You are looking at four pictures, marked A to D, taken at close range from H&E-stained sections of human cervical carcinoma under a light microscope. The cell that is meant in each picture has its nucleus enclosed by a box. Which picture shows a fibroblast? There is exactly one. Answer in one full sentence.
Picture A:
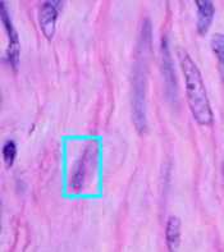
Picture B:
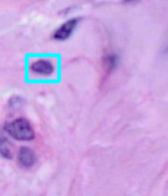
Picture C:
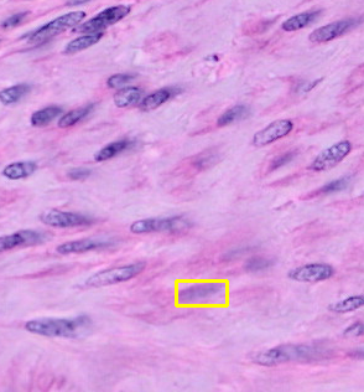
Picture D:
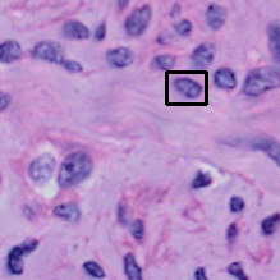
Picture B shows the fibroblast.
